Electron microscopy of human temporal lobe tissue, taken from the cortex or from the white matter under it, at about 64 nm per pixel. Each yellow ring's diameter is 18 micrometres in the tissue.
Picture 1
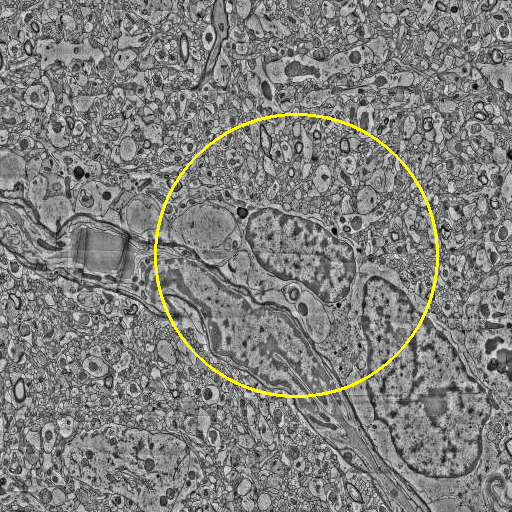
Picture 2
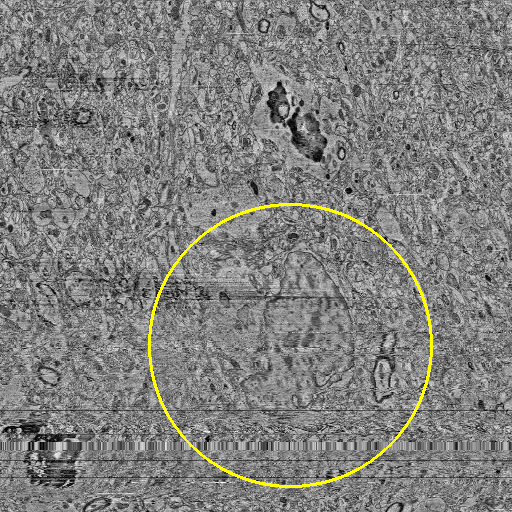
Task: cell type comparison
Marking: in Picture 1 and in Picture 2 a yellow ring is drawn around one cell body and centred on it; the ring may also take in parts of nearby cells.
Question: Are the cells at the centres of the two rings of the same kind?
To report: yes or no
yes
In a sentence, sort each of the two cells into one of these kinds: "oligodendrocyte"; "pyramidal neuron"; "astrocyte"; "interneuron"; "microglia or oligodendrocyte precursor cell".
Both pictures show a microglial cell or oligodendrocyte precursor cell at the centre of the ring.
